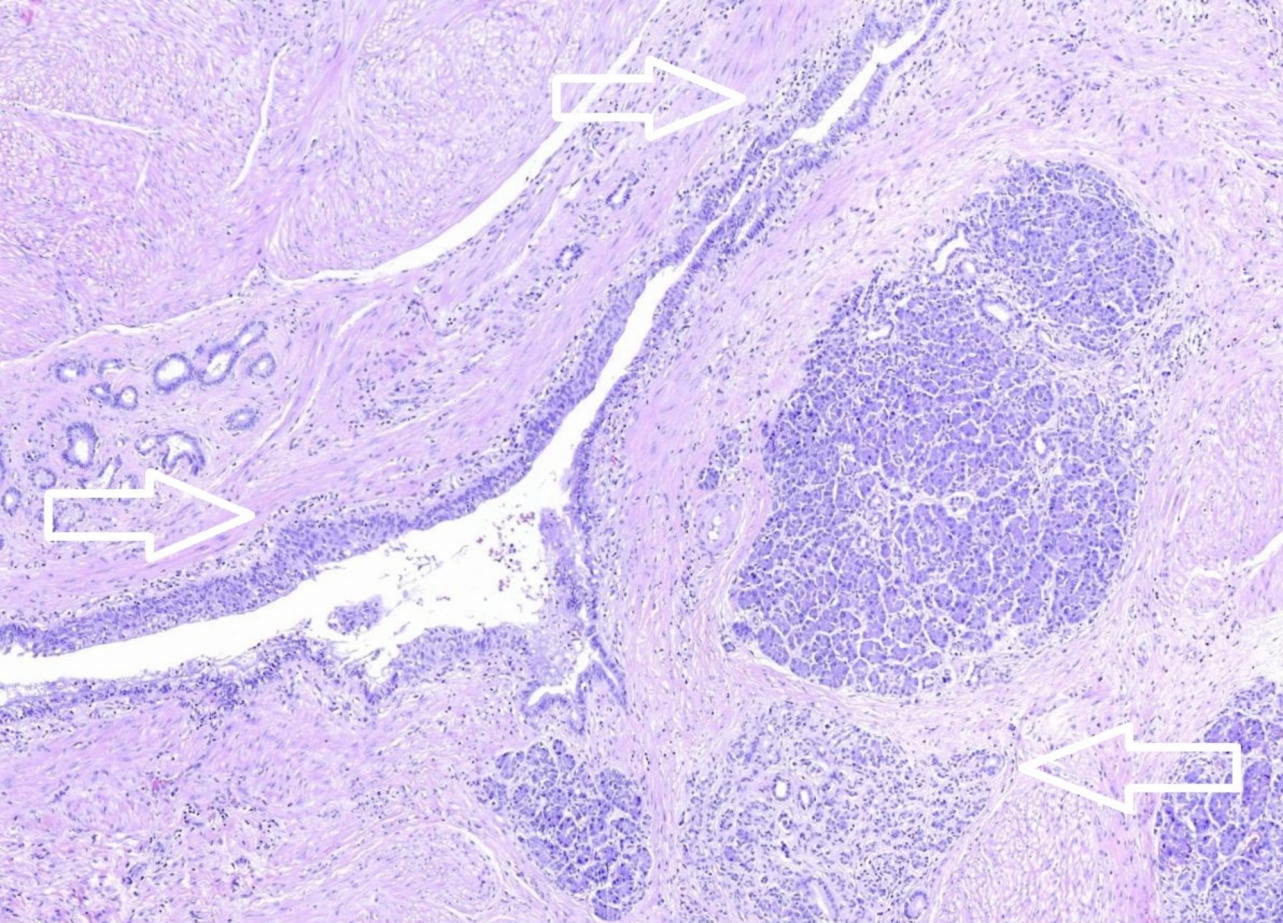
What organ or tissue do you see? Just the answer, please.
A: Pancreatic parenchyma.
